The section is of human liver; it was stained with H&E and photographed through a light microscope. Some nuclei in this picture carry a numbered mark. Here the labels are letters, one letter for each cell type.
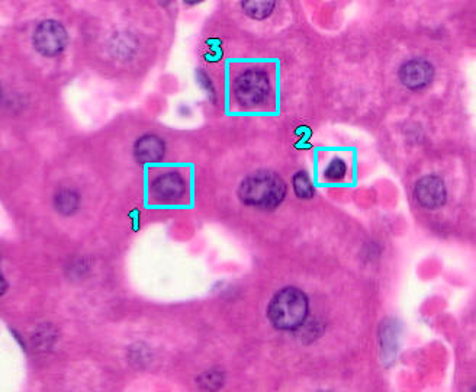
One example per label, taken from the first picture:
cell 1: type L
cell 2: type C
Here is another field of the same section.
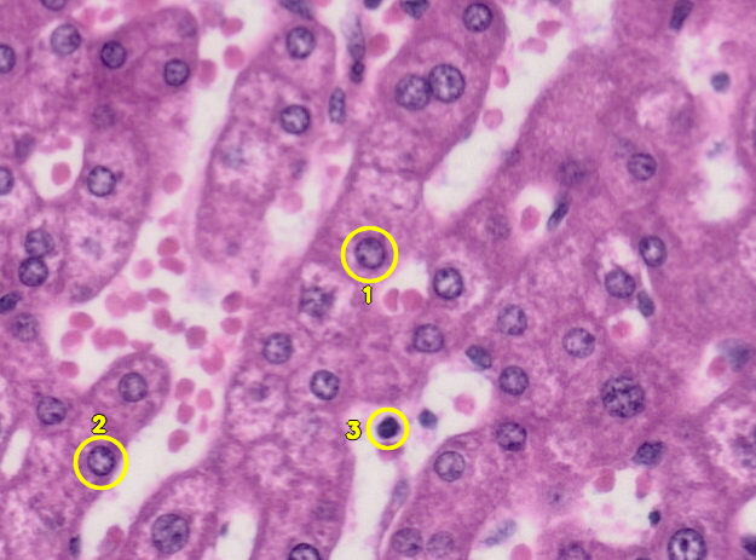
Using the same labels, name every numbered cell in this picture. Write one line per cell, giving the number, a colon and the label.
1: type L
2: type L
3: type C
